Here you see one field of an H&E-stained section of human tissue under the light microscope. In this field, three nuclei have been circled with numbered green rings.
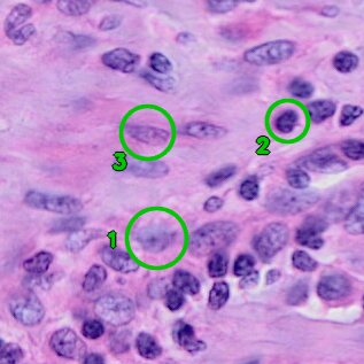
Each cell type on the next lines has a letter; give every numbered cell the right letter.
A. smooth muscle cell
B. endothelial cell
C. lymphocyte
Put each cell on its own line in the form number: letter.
1: B
2: C
3: A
